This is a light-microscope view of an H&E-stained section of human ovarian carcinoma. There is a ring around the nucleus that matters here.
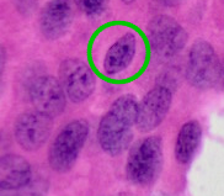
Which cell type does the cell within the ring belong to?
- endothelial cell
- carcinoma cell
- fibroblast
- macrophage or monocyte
macrophage or monocyte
